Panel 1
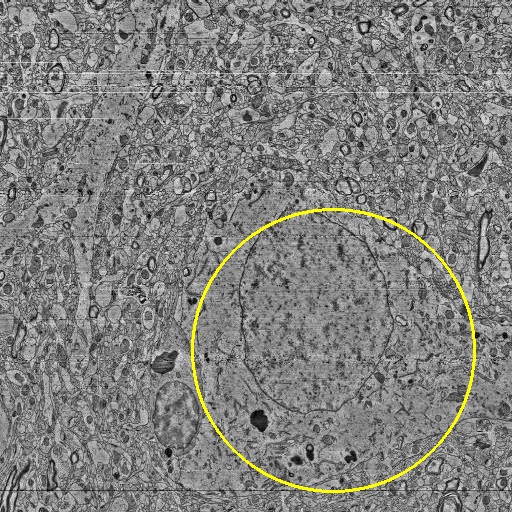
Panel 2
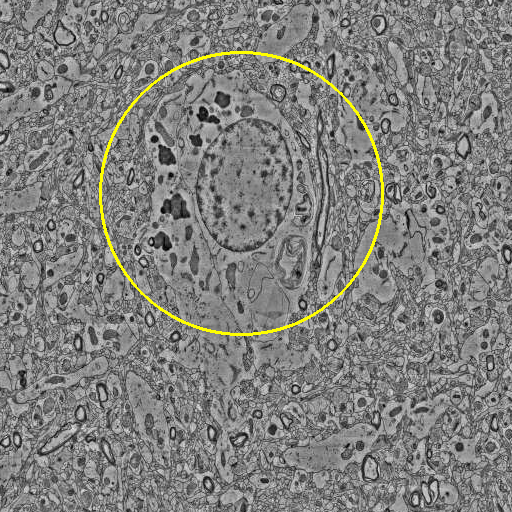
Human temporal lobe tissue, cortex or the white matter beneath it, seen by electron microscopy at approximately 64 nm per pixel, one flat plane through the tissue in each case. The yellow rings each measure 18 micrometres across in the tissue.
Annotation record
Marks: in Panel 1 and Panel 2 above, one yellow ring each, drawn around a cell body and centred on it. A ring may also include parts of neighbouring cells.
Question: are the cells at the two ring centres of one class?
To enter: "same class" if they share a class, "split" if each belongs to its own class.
split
